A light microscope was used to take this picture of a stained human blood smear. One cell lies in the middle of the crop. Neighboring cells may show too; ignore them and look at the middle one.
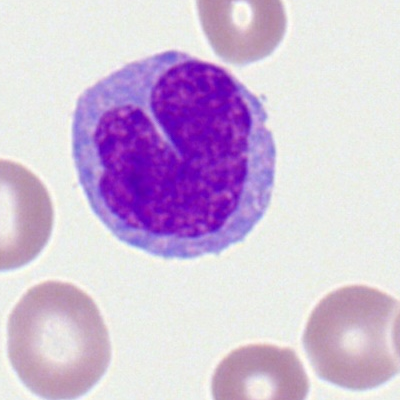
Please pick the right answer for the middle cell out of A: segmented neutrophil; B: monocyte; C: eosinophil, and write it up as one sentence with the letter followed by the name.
The best answer is option B, since the cell in the middle is a monocyte.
